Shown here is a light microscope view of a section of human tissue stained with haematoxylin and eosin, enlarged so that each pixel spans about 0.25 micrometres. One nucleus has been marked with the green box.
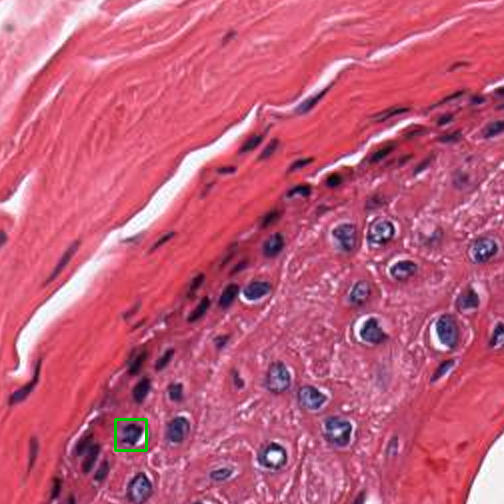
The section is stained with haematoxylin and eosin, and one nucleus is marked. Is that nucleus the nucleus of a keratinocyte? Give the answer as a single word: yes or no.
yes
